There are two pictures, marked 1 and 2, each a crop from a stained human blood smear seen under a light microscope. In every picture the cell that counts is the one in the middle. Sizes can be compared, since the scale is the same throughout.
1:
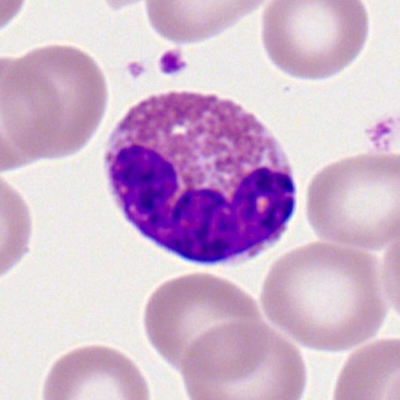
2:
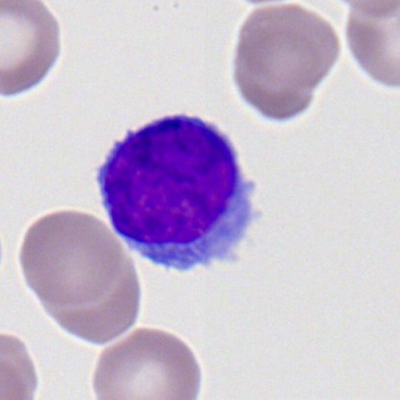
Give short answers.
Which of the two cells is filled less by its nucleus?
1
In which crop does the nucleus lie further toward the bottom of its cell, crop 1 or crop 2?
1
